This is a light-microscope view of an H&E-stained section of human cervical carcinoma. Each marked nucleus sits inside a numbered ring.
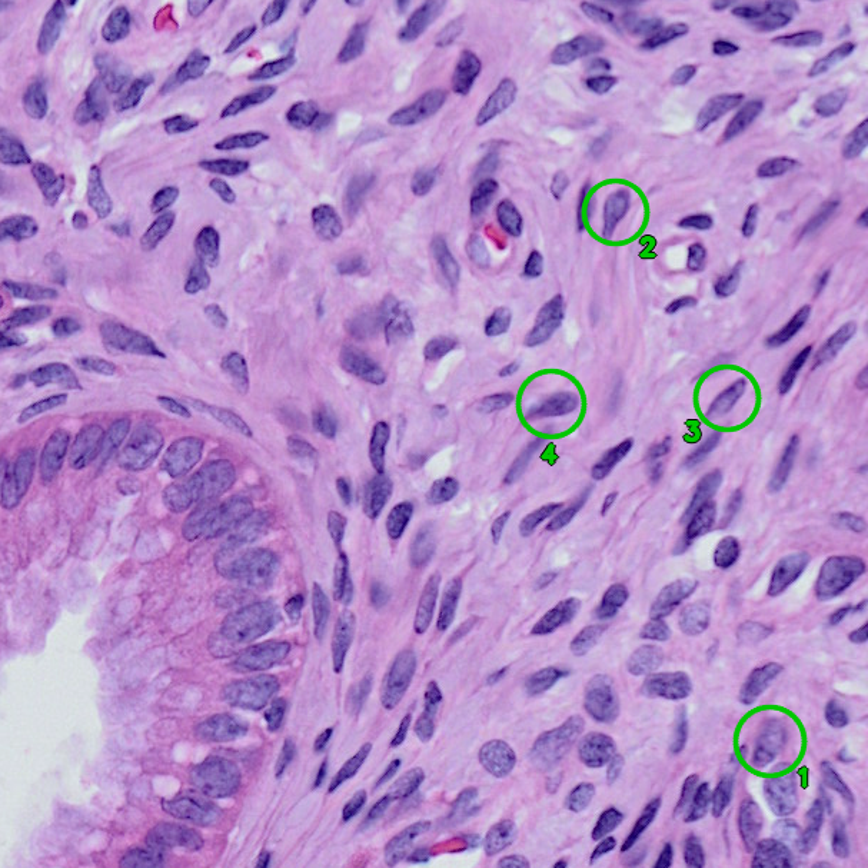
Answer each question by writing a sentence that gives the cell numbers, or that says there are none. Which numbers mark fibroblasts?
In short, the numbered cells 2, 3 and 4 are fibroblasts.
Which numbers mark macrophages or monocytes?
Among the numbered cells, there are no macrophages or monocytes.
